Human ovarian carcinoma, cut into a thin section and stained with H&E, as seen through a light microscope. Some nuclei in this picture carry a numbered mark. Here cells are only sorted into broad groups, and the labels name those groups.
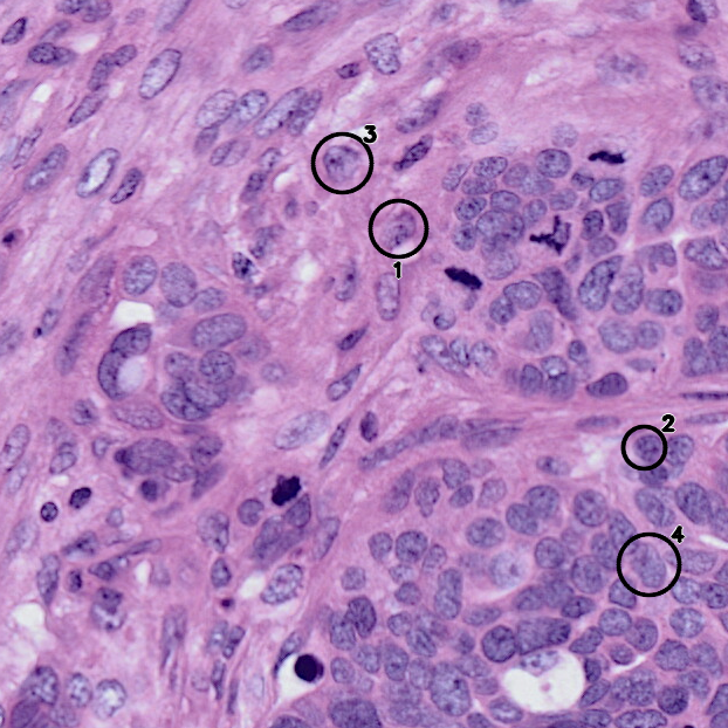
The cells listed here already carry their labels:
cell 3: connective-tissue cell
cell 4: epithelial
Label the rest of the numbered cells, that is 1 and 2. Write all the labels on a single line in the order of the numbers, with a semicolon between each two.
connective-tissue cell; epithelial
